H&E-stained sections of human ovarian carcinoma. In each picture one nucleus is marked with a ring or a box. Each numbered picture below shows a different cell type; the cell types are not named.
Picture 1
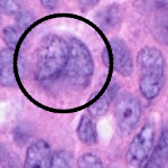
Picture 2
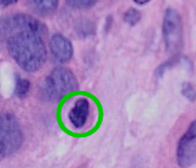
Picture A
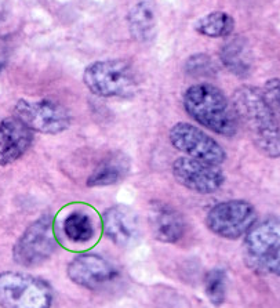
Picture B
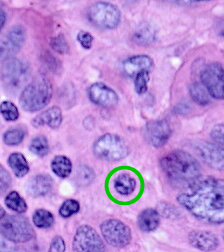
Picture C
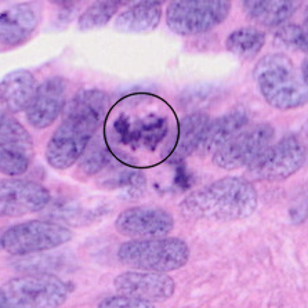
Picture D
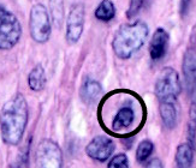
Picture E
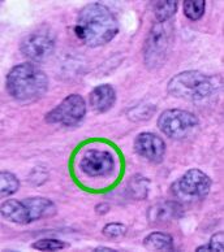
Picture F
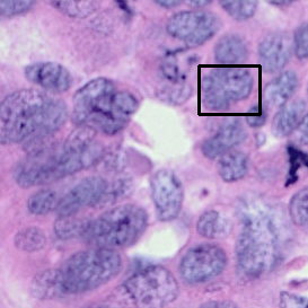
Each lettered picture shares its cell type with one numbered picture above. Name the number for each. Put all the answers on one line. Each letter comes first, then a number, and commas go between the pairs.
A 2, B 2, C 1, D 2, E 2, F 1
